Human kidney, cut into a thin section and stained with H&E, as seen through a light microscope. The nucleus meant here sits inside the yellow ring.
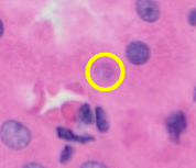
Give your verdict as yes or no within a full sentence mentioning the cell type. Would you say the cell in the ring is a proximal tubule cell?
Yes, the cell in the ring corresponds to a proximal tubule cell in this tissue.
